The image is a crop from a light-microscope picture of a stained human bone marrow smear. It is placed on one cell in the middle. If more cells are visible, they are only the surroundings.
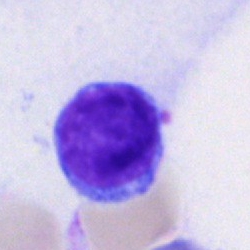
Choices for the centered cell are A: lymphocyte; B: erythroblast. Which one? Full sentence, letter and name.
The correct choice is option A, which identifies the middle cell as a lymphocyte.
